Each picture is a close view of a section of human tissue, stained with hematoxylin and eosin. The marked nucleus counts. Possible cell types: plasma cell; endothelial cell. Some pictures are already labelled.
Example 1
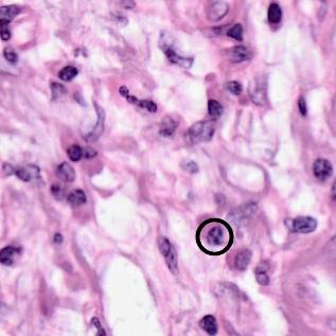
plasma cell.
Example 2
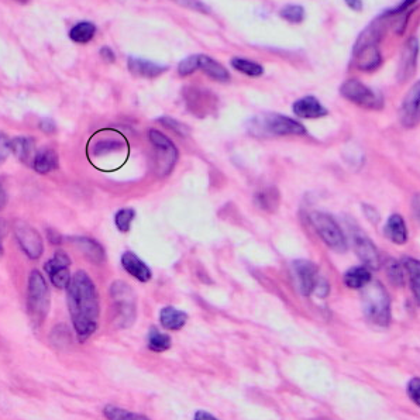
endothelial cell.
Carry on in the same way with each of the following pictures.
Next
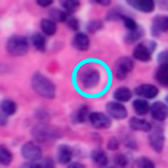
endothelial cell.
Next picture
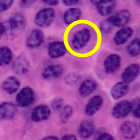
plasma cell.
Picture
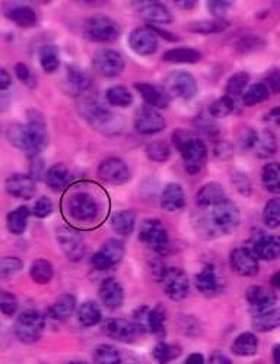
plasma cell.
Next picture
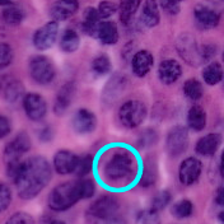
plasma cell.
